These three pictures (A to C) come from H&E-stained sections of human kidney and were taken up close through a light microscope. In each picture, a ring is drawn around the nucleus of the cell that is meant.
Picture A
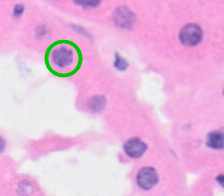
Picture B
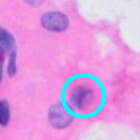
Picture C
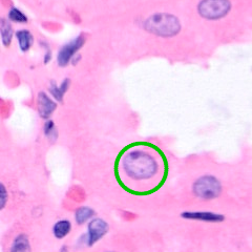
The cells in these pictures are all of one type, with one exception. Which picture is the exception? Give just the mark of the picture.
A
